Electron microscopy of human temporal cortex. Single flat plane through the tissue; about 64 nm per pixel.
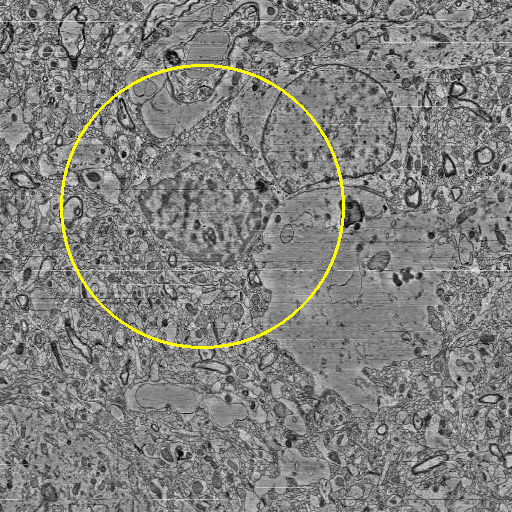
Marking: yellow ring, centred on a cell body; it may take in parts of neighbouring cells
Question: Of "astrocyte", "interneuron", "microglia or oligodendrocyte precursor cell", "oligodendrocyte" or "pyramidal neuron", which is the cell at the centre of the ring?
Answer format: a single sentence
The ring surrounds the body of an oligodendrocyte.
